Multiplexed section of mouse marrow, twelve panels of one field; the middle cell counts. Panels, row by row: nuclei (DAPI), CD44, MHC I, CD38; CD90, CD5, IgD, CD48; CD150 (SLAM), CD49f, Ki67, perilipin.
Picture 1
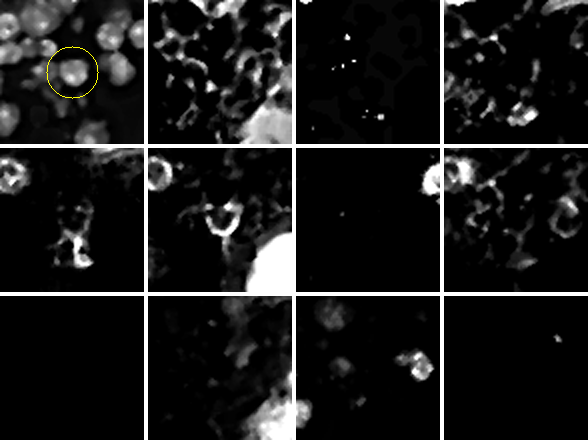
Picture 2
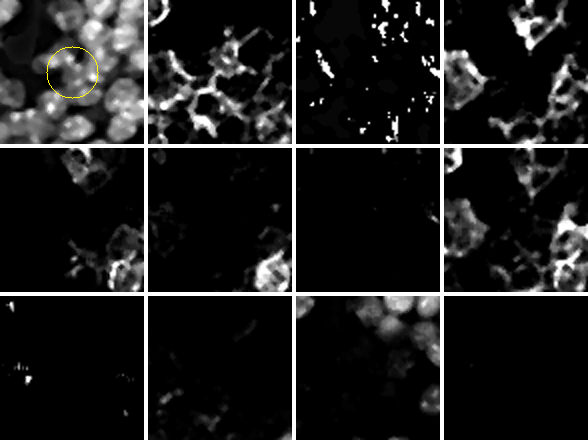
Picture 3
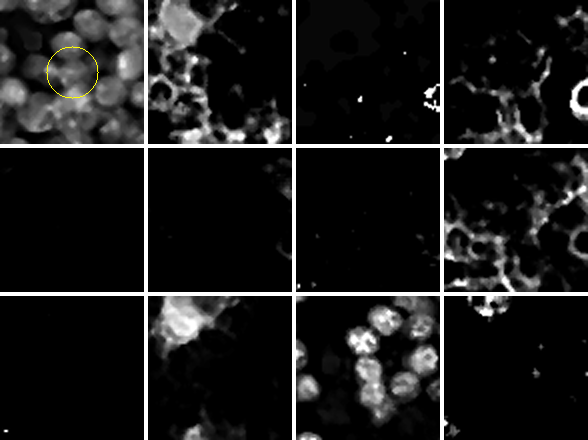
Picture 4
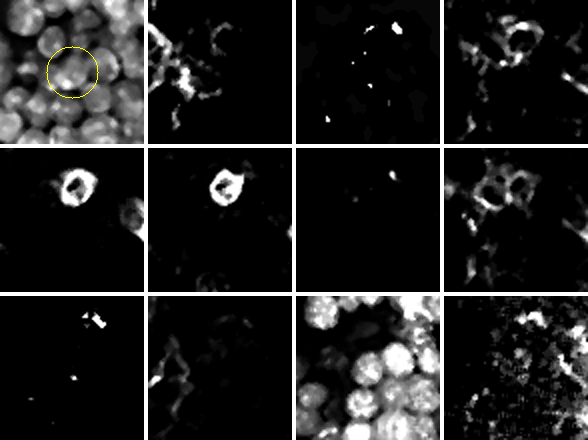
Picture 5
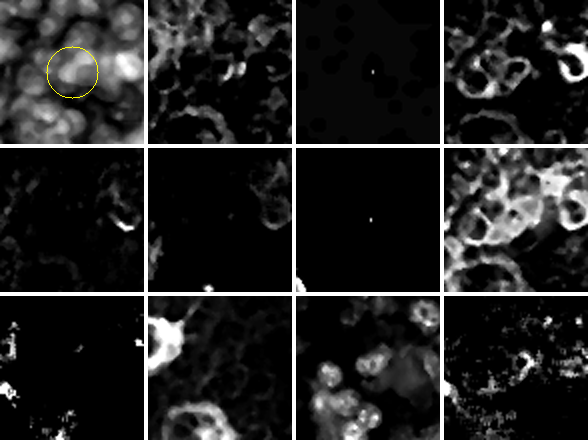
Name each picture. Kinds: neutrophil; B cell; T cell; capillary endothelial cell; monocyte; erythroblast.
1. T cell
2. neutrophil
3. erythroblast
4. capillary endothelial cell
5. monocyte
